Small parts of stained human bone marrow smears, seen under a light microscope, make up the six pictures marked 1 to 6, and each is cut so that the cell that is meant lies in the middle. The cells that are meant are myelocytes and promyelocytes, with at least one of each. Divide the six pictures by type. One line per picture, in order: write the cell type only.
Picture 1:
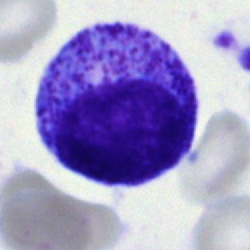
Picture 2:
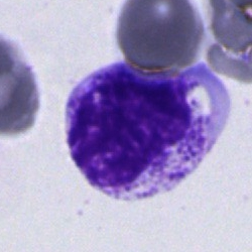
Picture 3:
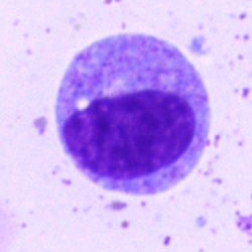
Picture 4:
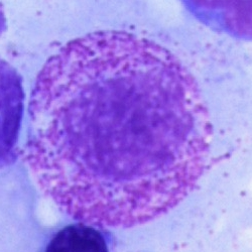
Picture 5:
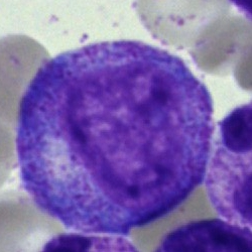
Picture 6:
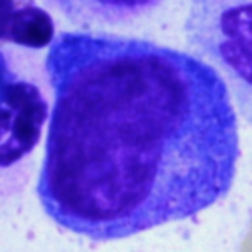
myelocyte
myelocyte
myelocyte
myelocyte
promyelocyte
promyelocyte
